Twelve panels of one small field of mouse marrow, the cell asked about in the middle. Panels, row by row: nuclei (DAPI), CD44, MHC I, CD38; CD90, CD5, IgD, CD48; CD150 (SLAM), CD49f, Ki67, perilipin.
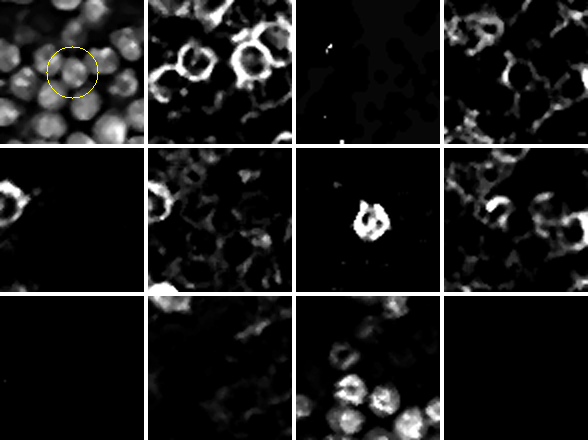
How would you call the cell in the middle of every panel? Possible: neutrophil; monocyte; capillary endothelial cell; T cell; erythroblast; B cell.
I would call it a B cell.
